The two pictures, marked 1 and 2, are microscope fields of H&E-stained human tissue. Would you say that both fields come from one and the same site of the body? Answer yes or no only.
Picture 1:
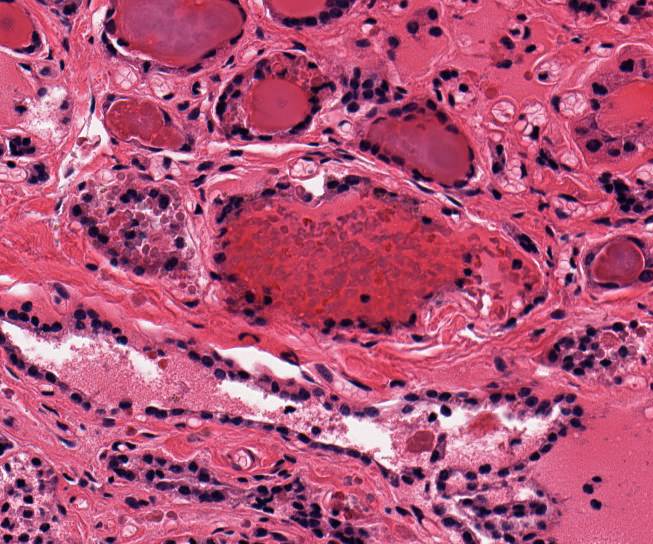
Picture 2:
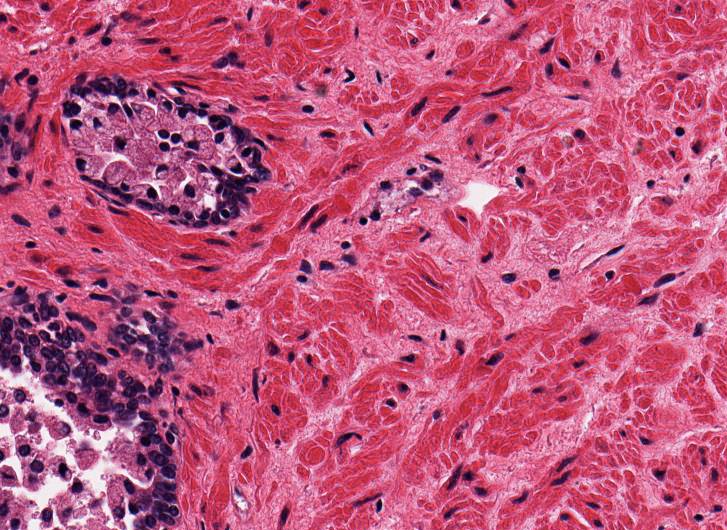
no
